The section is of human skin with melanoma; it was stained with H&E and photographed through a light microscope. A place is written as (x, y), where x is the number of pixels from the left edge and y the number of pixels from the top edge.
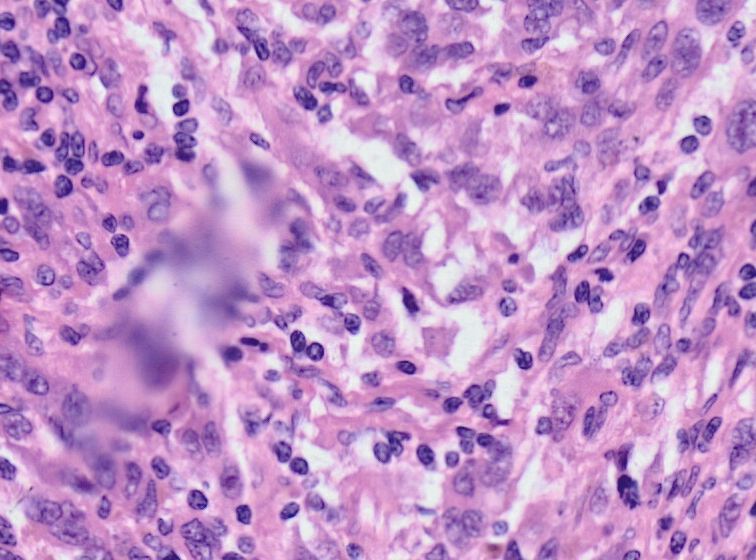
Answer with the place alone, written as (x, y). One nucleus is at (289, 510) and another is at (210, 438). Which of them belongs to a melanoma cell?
(210, 438)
